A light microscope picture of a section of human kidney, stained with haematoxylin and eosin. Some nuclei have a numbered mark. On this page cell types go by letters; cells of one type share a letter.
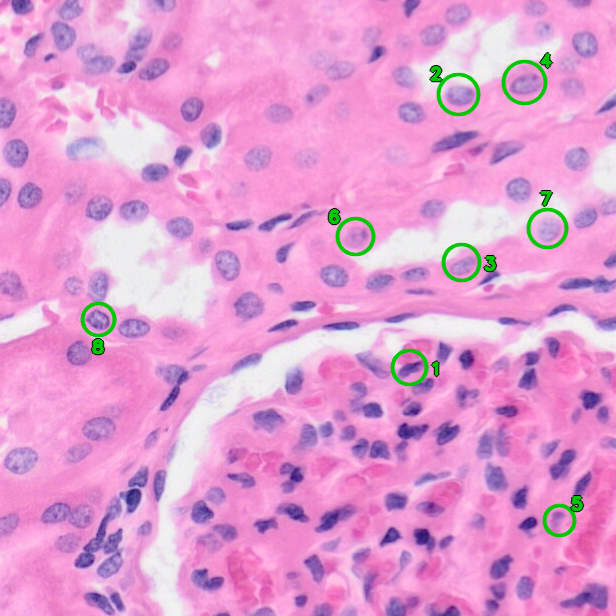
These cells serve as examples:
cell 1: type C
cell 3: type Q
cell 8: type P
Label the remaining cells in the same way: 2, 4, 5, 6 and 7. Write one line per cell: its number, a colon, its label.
2: type Q
4: type Q
5: type C
6: type Q
7: type Q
